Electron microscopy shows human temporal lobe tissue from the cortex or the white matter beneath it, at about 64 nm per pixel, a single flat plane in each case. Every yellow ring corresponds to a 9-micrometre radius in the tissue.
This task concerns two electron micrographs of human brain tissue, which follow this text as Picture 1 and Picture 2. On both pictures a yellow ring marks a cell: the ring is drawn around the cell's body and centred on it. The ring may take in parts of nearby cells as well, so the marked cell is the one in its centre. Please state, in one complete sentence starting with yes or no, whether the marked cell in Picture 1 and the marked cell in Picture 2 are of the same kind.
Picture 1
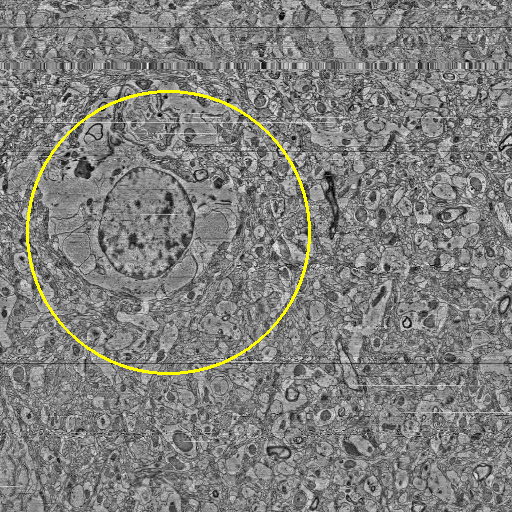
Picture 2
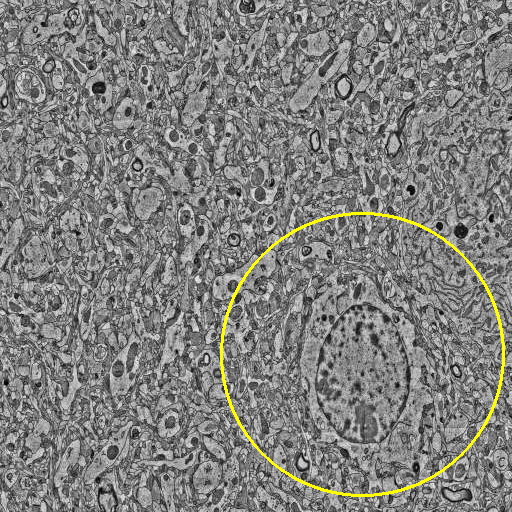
Yes, the marked cells in both pictures are of the same kind.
